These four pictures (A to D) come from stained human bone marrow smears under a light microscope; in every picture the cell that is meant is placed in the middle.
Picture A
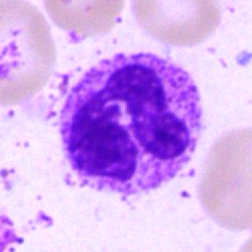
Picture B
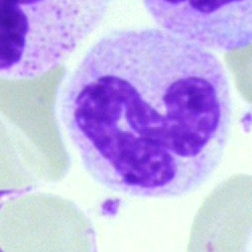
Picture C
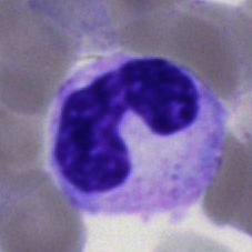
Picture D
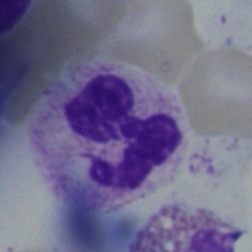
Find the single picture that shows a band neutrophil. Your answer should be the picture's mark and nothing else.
C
